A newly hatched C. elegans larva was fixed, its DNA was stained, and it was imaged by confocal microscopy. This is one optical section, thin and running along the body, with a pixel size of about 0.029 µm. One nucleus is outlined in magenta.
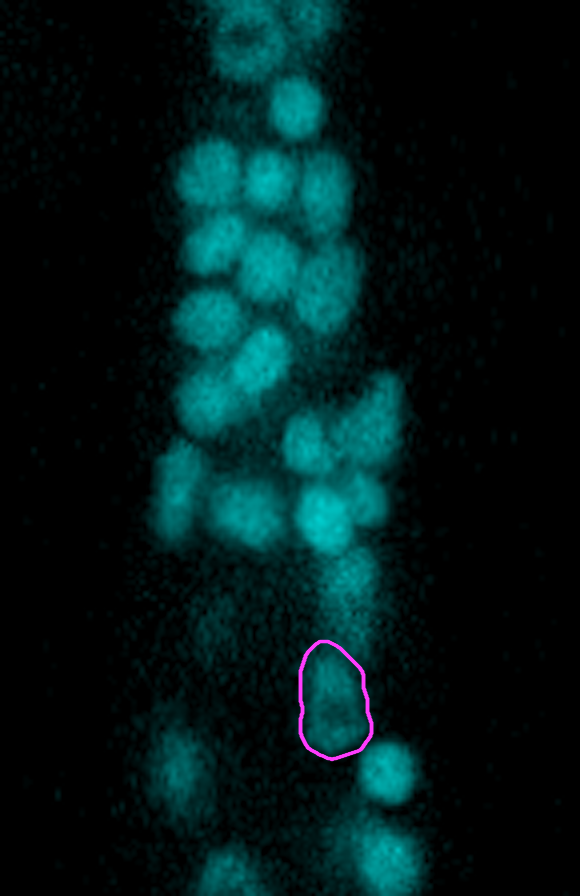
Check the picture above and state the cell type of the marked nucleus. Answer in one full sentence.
It is the nucleus of an intestinal cell.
